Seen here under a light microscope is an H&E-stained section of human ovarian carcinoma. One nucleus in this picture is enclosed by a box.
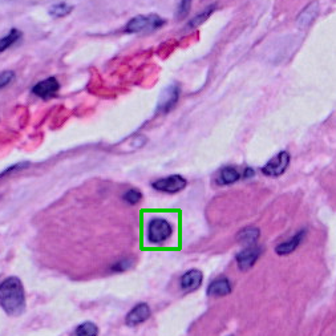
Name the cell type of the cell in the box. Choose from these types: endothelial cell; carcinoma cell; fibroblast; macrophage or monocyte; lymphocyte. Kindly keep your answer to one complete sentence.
For cell typing purposes, the cell in the box is a lymphocyte.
